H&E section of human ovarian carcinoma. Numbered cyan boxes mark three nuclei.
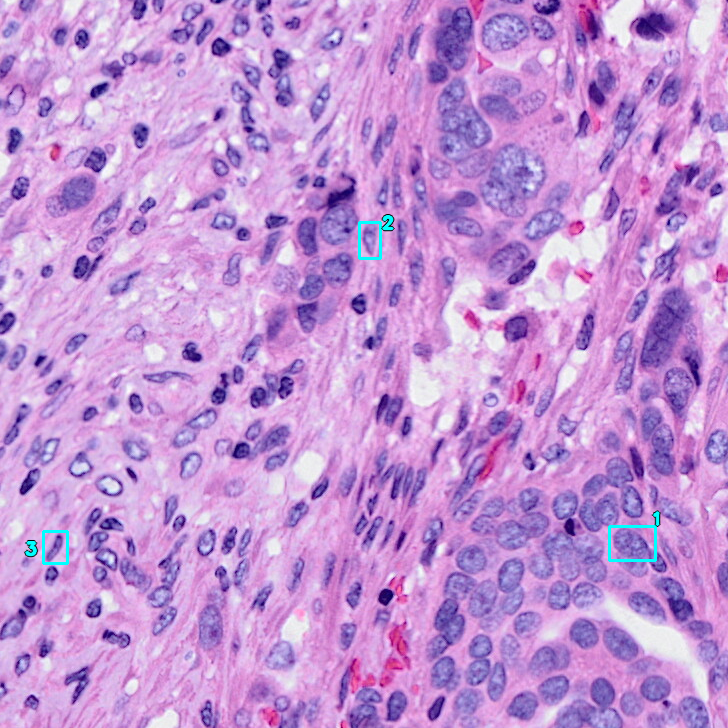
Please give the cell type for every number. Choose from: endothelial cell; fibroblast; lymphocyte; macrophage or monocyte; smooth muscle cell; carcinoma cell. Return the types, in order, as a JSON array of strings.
["carcinoma cell", "fibroblast", "fibroblast"]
